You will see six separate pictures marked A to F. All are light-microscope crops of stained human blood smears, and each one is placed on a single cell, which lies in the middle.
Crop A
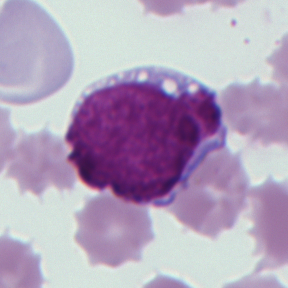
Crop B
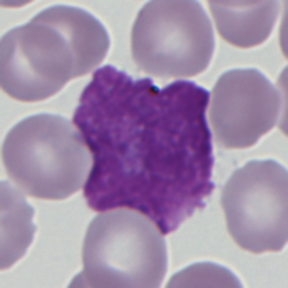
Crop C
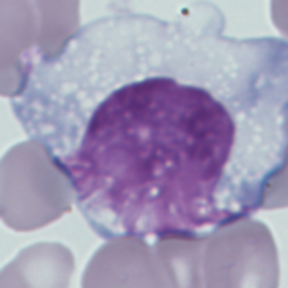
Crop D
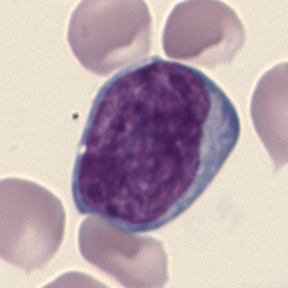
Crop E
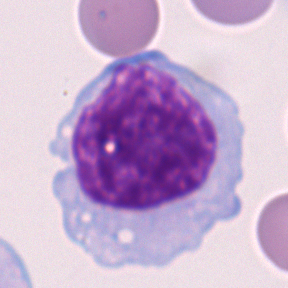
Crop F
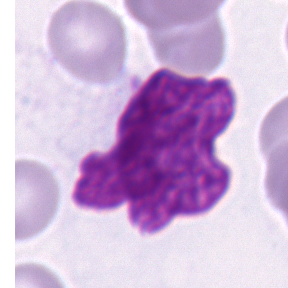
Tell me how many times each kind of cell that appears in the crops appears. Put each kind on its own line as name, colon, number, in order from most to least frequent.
myeloblast: 3
smudge cell: 2
monocyte: 1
